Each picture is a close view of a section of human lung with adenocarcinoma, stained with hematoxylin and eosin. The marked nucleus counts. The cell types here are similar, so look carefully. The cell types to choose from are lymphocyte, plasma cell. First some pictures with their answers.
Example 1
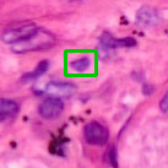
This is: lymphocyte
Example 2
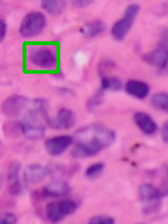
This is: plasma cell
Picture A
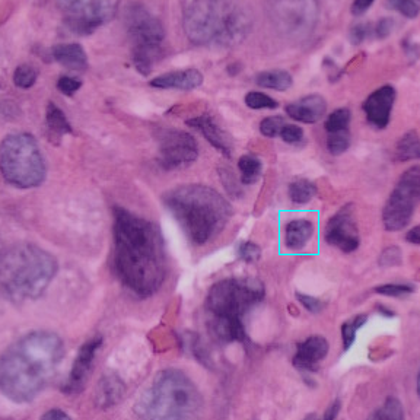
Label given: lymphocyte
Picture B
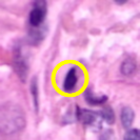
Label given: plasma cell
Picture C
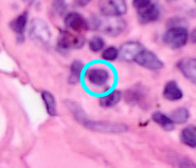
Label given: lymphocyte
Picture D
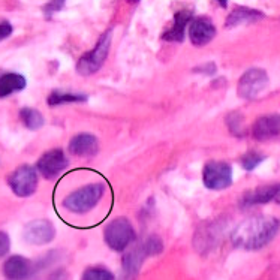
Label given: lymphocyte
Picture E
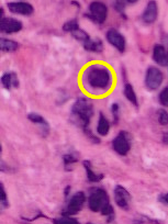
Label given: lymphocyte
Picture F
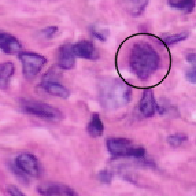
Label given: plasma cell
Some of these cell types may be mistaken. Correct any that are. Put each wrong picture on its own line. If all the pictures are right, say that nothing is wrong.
E: not lymphocyte but plasma cell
